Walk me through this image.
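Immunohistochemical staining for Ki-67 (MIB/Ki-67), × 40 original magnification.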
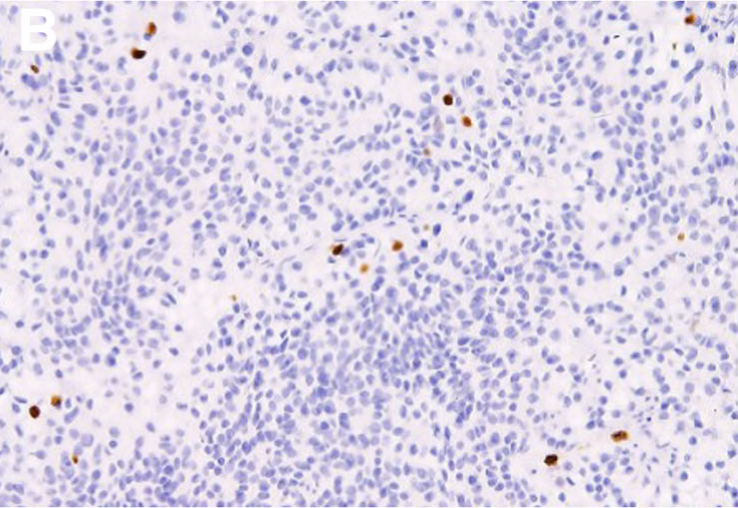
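This is a cellular tumour with sheets of cells whose oval to slightly elongated nuclei are counterstained blue. The nuclei are fairly uniform and lie in a solid, somewhat streaming arrangement with pale cytoplasm between them. Only a few scattered nuclei are stained brown, while nearly all the others remain blue.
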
